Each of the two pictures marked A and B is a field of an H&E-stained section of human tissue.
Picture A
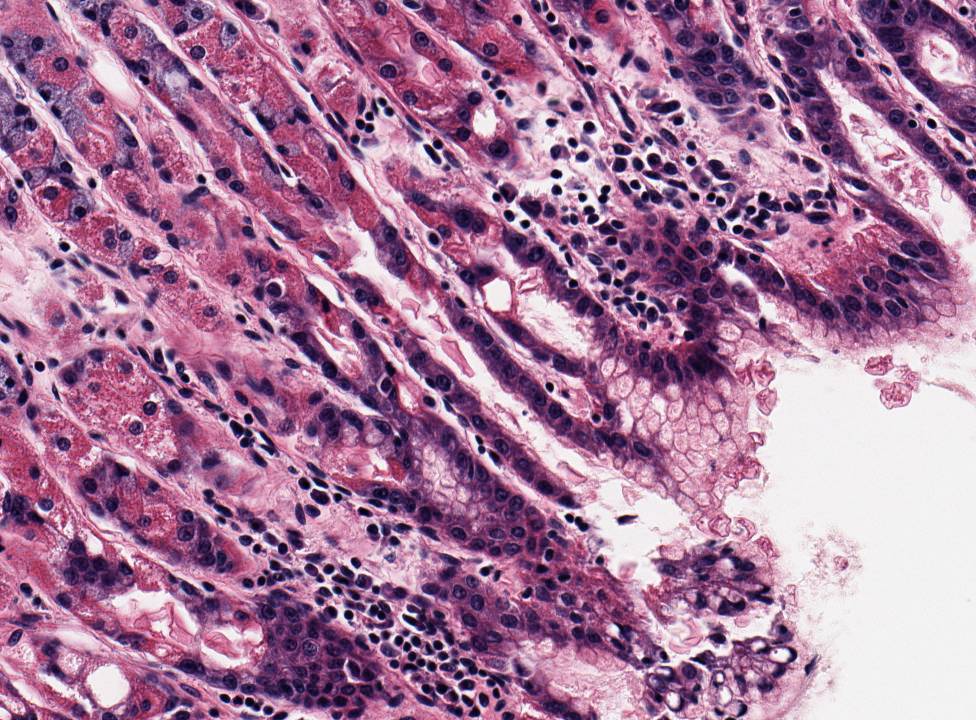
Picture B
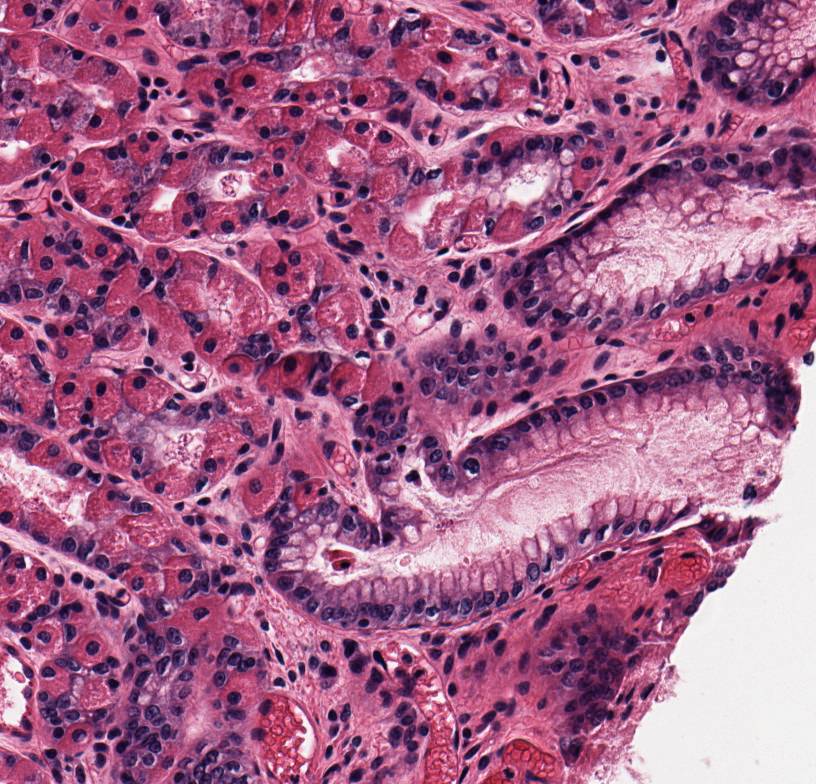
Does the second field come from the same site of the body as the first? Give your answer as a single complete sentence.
Yes, both come from the stomach.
